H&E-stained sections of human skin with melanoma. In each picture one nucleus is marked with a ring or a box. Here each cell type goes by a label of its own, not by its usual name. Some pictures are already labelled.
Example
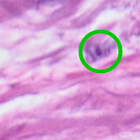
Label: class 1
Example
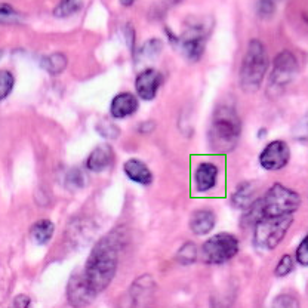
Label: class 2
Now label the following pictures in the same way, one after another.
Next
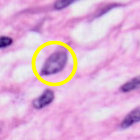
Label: class 1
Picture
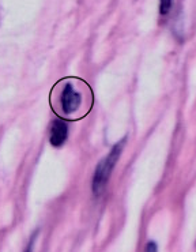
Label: class 2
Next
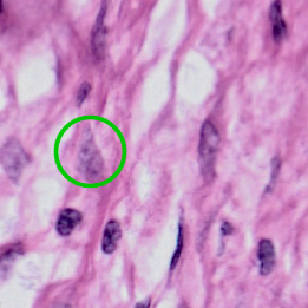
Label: class 1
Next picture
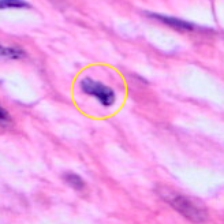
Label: class 2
